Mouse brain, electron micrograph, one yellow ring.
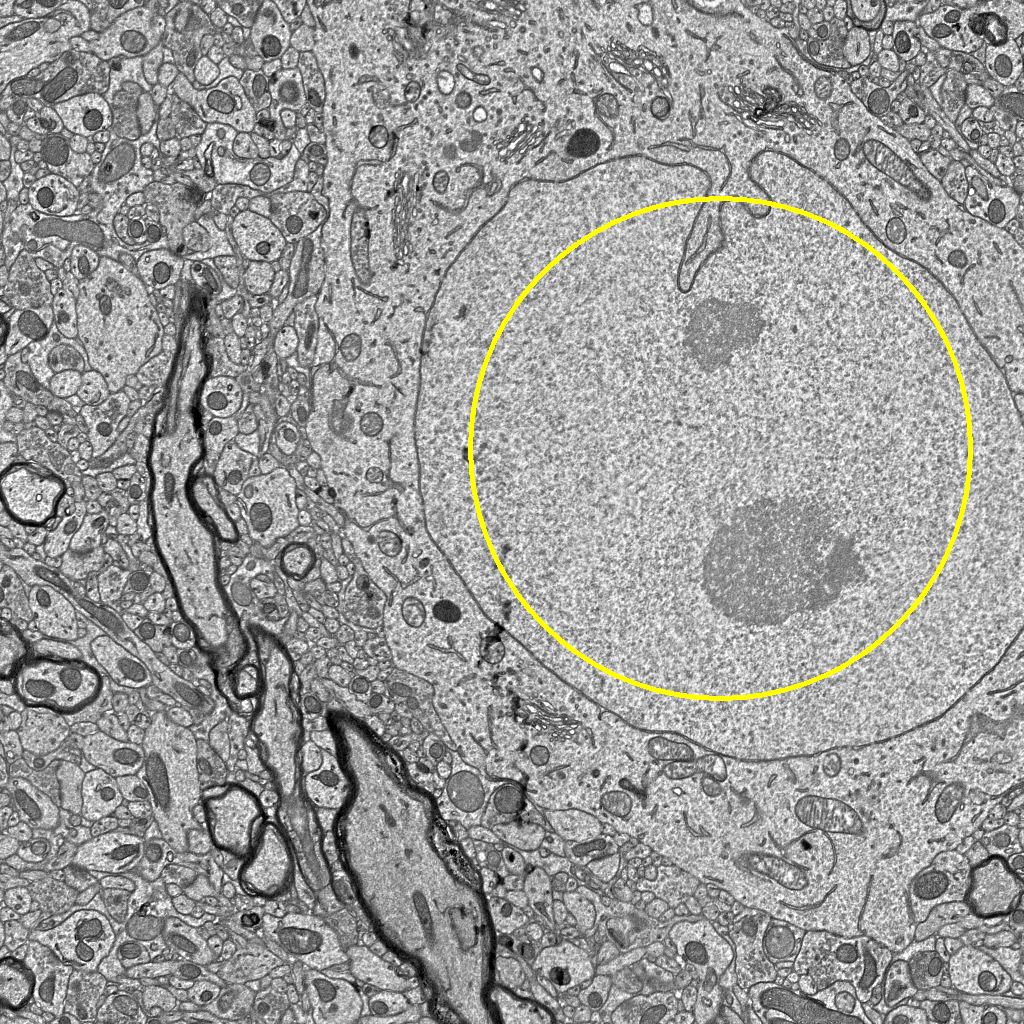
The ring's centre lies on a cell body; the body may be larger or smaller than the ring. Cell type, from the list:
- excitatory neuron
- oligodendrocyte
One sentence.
The yellow ring's centre lies on an excitatory neuron.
